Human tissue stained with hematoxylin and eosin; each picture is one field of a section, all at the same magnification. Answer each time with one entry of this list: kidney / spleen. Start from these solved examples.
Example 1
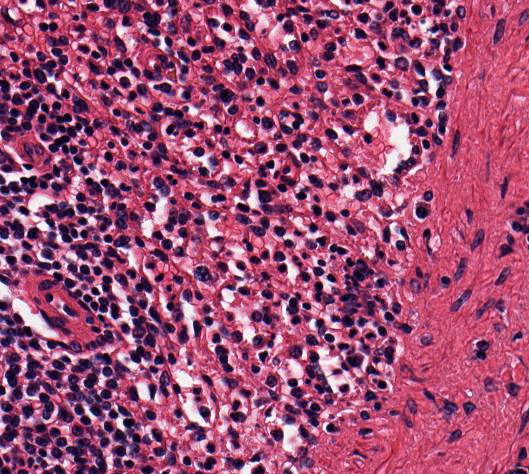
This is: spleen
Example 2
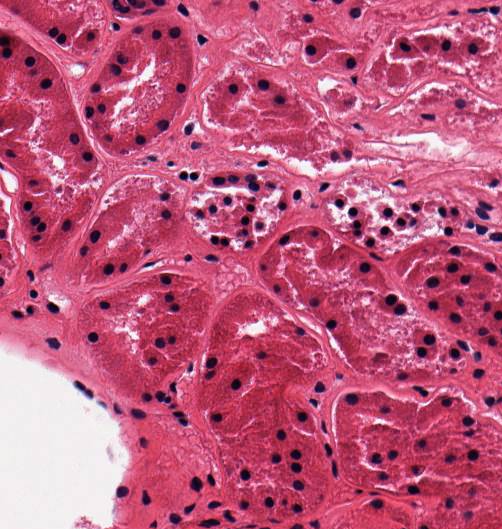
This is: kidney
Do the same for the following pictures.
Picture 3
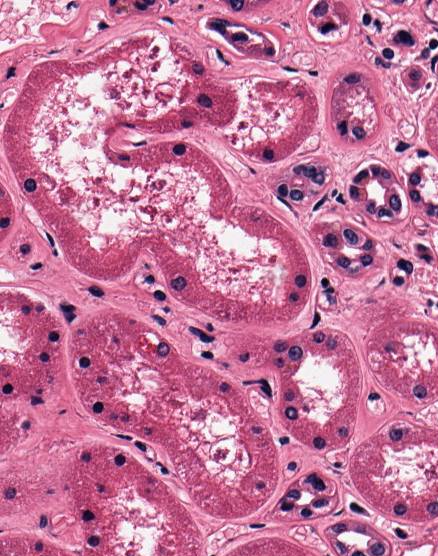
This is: kidney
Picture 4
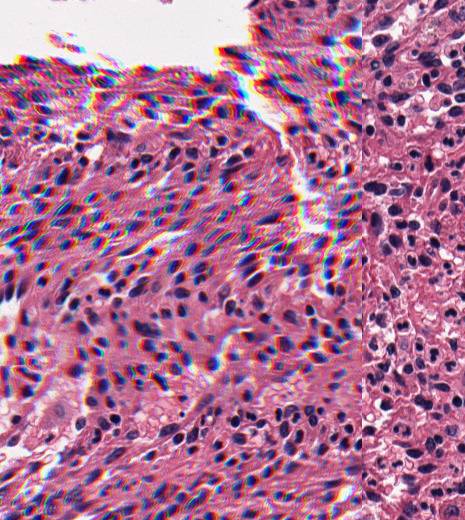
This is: spleen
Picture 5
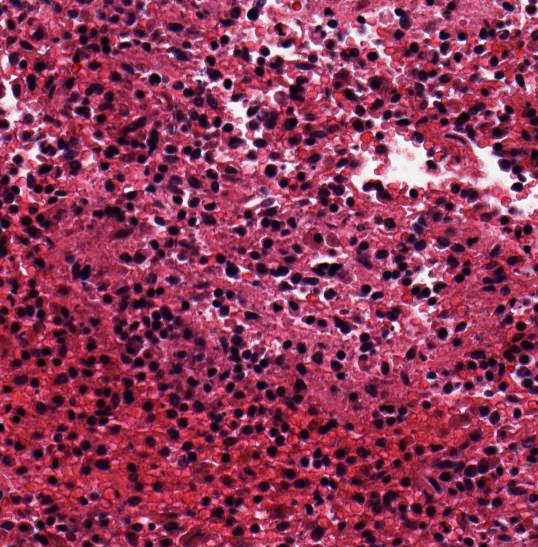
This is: spleen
